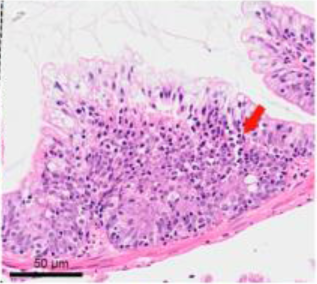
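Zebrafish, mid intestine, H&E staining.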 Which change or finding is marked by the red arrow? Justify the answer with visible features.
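A broad band of densely packed small round dark nuclei fills the mucosa near the arrow. The infiltrate lies beneath the columnar epithelium. On this evidence: mucosal inflammatory cell infiltration.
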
